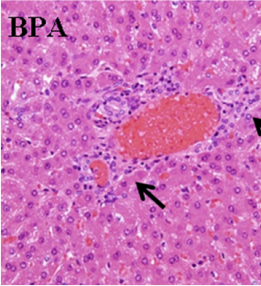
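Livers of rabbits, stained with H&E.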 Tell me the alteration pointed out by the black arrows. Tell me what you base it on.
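Inflammatory cells infiltration. A dense band of small cells with dark round nuclei surrounds a vessel filled with red blood cells. These small dark-nucleated cells are packed more closely than the surrounding hepatocytes. The arrows point at this band of small cells beside the vessel.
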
